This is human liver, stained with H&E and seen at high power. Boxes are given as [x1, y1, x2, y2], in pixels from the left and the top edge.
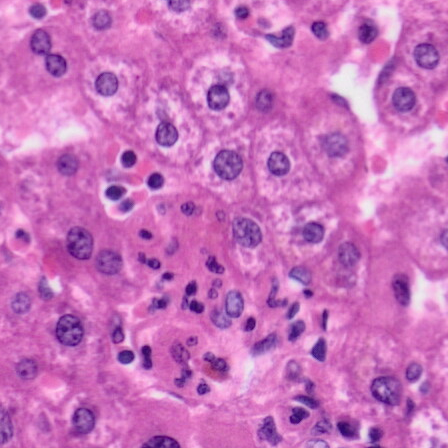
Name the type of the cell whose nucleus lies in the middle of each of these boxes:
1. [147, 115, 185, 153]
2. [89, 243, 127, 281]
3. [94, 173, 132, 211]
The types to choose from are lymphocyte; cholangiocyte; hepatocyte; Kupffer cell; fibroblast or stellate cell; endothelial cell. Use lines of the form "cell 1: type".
cell 1: hepatocyte
cell 2: hepatocyte
cell 3: lymphocyte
